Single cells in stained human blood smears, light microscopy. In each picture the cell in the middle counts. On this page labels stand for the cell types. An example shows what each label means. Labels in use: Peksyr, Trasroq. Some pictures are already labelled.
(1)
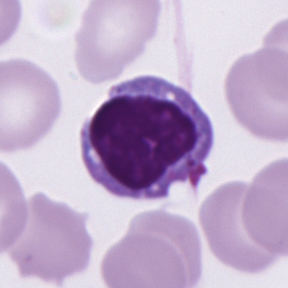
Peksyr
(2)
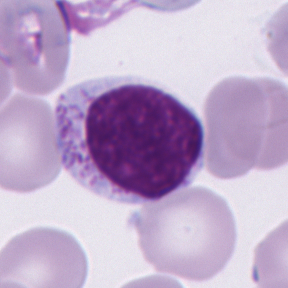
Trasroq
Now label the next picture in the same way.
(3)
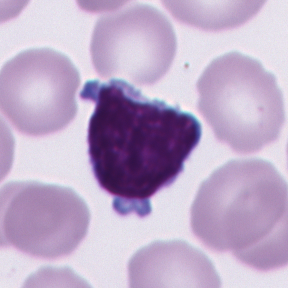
Peksyr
